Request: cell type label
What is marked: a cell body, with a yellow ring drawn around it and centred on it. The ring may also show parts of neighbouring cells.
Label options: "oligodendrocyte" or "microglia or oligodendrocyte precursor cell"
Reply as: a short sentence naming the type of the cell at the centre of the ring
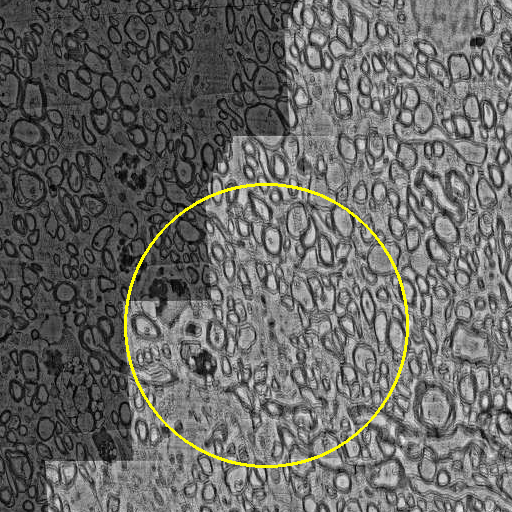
The marked cell body is that of a microglial cell or oligodendrocyte precursor cell.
